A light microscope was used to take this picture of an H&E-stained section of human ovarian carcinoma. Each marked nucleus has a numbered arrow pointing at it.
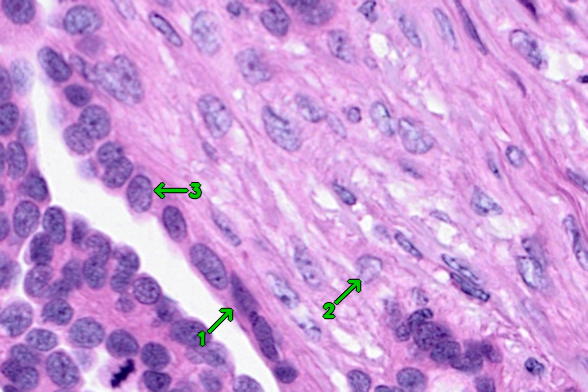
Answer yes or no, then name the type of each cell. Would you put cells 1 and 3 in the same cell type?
Yes, sure, cells 1 and 3 are both carcinoma cells.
